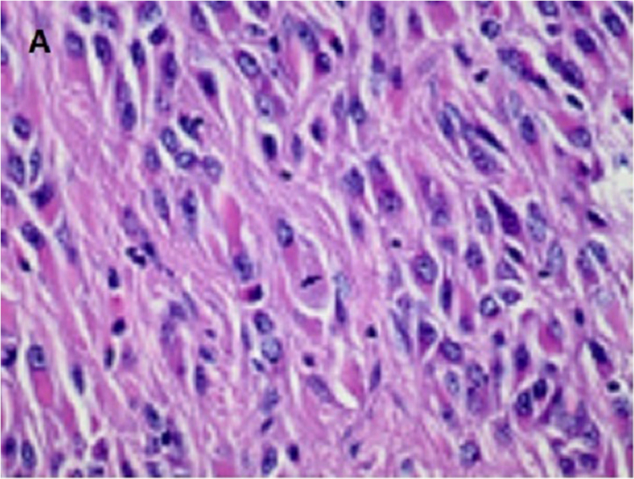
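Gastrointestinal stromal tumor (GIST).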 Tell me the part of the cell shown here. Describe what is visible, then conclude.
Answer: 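Fibrillary eosinophilic cytoplasm. Cytoplasm between the nuclei is pink. The pink cytoplasm has a streaky, fibrillar texture.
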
